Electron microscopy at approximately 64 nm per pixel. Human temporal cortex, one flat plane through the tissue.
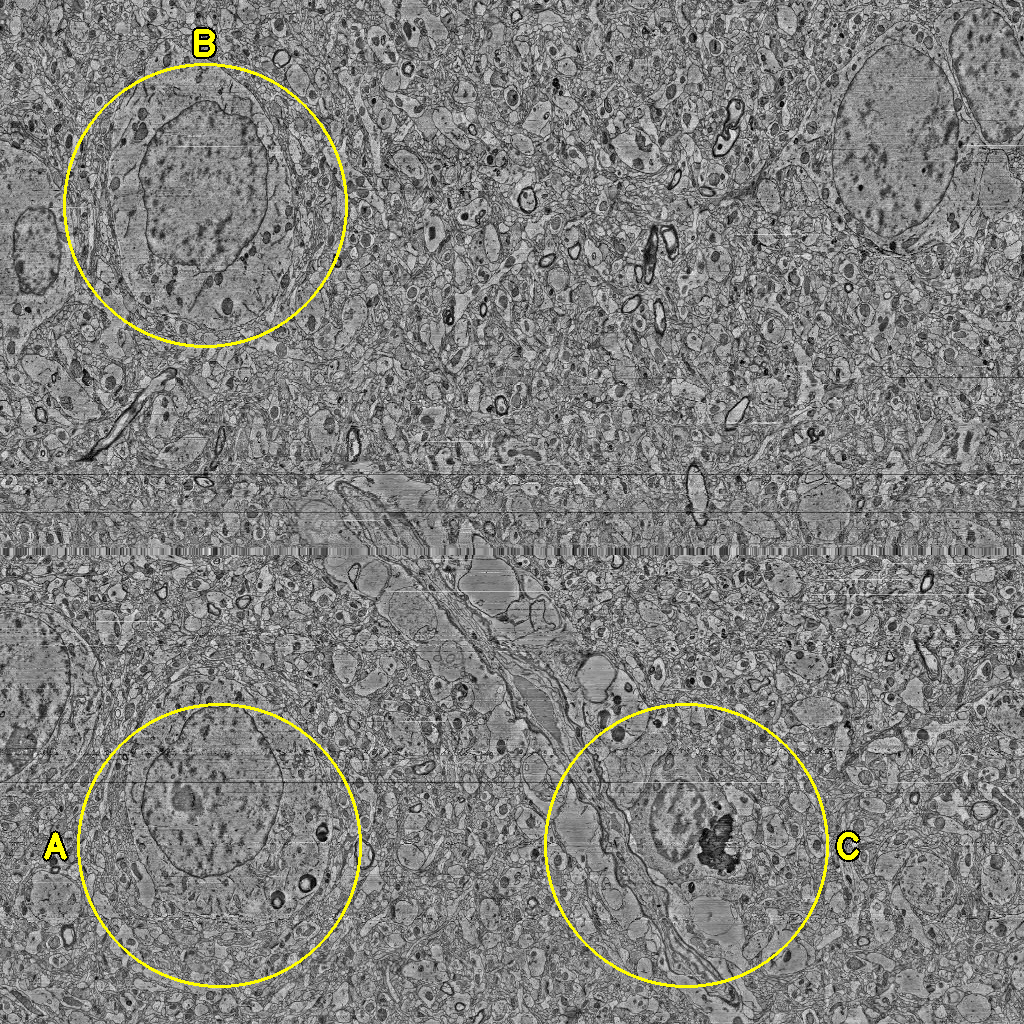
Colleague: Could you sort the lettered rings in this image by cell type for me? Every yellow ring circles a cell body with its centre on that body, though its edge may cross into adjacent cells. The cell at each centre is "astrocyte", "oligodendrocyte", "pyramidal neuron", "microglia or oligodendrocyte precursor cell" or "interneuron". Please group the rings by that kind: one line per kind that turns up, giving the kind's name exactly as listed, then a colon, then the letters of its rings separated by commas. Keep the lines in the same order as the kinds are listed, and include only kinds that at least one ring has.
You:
oligodendrocyte: C
pyramidal neuron: A, B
